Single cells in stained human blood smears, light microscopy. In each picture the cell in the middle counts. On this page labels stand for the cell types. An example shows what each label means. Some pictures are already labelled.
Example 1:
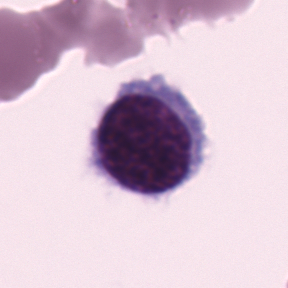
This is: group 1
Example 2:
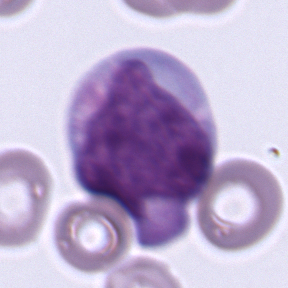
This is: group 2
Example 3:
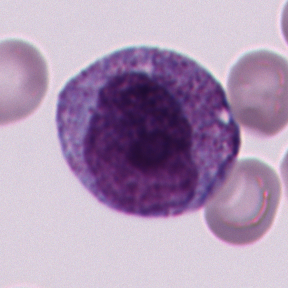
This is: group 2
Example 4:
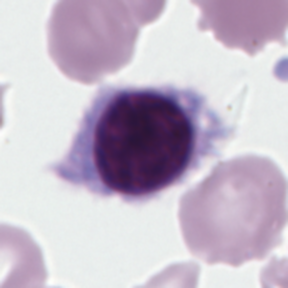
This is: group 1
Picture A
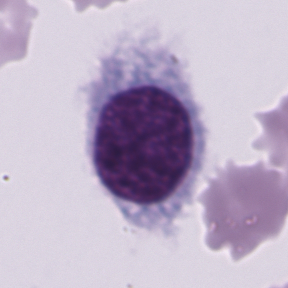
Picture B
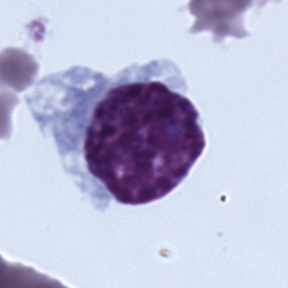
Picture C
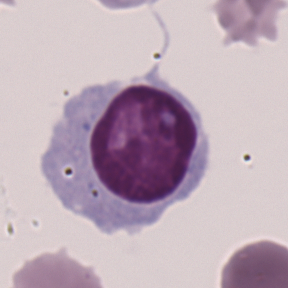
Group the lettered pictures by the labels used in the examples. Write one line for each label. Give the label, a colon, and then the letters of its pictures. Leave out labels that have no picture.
group 1: A, B, C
